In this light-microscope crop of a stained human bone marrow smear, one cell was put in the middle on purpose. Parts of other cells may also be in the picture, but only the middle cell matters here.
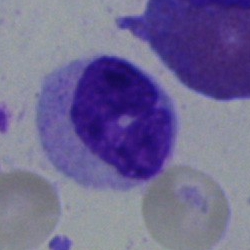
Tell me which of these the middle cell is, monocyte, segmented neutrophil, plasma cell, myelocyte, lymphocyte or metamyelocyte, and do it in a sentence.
The middle of this crop holds a monocyte.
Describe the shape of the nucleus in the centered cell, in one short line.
The cell carries one compact nucleus shaped round, oval or like a kidney.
